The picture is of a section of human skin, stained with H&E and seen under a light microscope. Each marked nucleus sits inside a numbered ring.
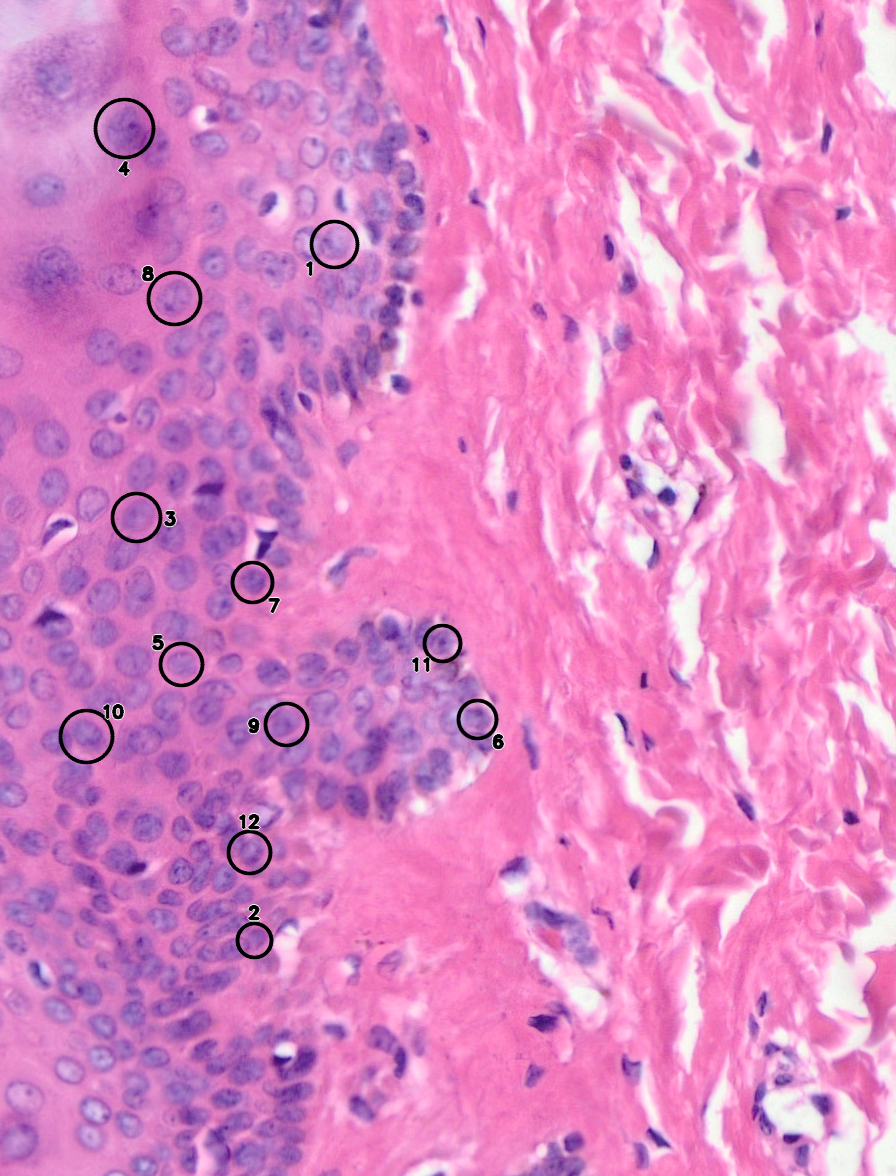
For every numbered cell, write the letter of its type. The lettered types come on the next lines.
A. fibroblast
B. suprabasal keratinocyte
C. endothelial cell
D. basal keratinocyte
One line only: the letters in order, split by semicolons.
B; D; B; B; B; D; D; B; B; B; D; D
